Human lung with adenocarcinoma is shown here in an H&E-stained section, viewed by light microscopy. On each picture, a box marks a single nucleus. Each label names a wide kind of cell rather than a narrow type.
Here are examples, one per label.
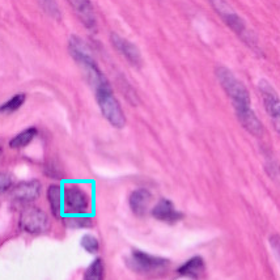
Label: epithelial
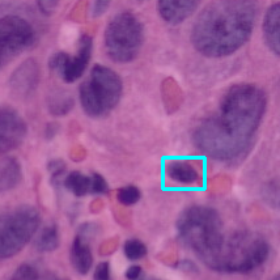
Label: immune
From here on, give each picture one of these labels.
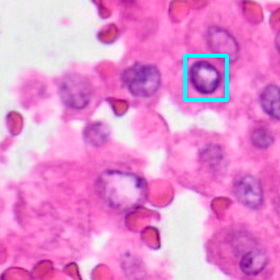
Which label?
immune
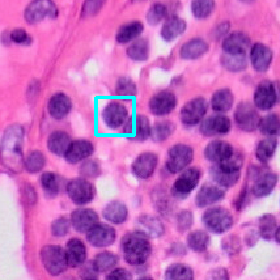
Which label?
immune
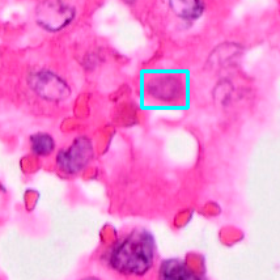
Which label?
immune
